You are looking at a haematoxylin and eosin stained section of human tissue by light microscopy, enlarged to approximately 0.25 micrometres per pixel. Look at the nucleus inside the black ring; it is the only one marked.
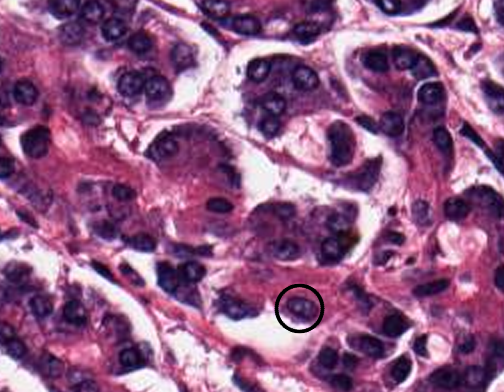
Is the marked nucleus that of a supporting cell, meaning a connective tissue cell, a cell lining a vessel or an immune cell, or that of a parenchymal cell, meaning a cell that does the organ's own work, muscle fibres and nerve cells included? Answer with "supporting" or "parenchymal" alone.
parenchymal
